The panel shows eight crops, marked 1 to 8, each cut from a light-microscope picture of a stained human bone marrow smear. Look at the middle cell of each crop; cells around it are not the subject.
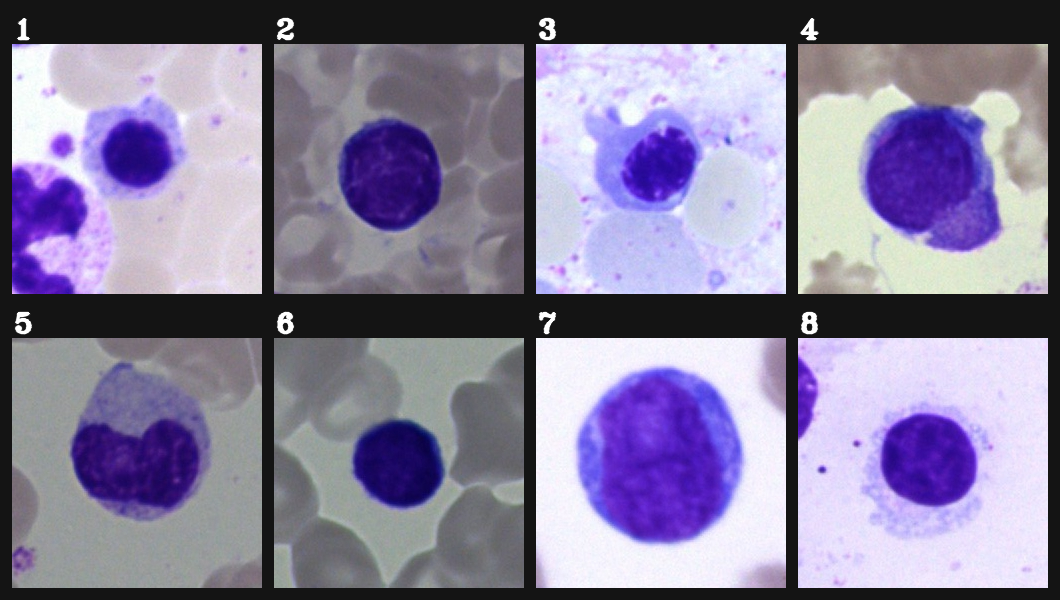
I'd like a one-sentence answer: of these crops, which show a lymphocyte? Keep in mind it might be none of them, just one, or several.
Here, the cells at the centre of crops 2, 6 and 8 are lymphocytes.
